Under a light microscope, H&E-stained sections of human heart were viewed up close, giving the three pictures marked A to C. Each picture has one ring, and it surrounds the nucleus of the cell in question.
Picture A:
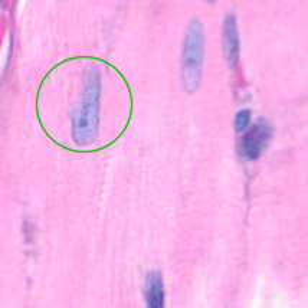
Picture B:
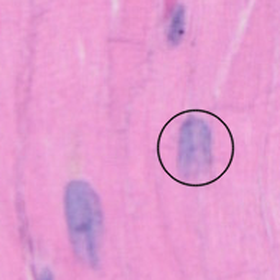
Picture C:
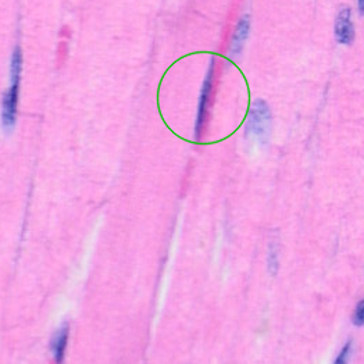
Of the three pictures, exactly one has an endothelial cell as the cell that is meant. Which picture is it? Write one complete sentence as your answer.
The picture with the endothelial cell is C.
